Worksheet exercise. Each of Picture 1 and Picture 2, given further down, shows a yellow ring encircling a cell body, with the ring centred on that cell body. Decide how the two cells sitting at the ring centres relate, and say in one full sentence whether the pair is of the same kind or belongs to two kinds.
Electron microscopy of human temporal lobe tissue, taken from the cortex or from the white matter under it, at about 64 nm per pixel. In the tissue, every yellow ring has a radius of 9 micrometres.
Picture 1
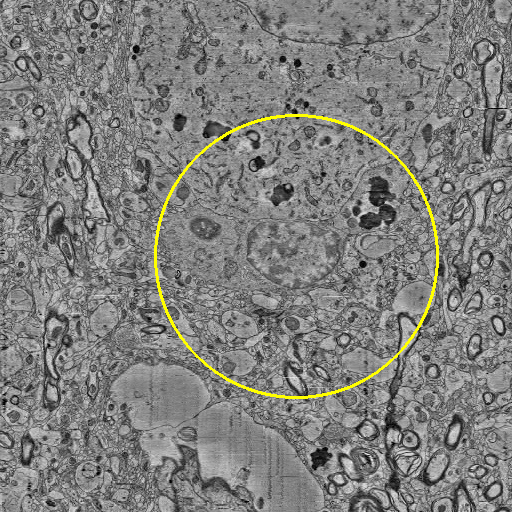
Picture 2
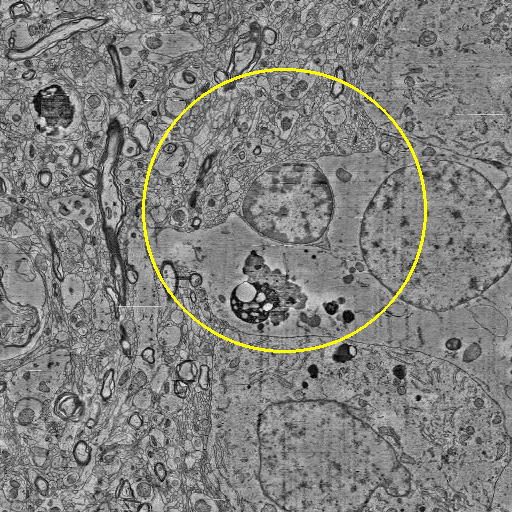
The cells at the ring centres in Picture 1 and Picture 2 belong to two kinds.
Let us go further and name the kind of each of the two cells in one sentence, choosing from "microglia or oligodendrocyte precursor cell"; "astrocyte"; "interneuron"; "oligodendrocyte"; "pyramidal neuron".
The ring of the first picture is on an oligodendrocyte, the ring of the second on a microglial cell or oligodendrocyte precursor cell.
